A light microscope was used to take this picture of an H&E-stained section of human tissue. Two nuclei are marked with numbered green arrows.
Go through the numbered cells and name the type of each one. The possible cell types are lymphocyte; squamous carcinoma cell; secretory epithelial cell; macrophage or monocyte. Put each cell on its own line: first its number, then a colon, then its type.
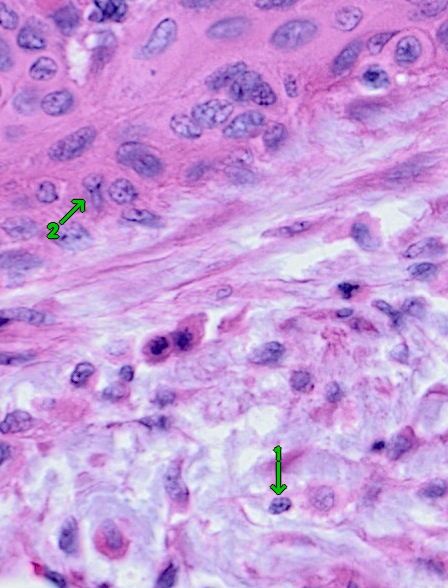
1: lymphocyte
2: squamous carcinoma cell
